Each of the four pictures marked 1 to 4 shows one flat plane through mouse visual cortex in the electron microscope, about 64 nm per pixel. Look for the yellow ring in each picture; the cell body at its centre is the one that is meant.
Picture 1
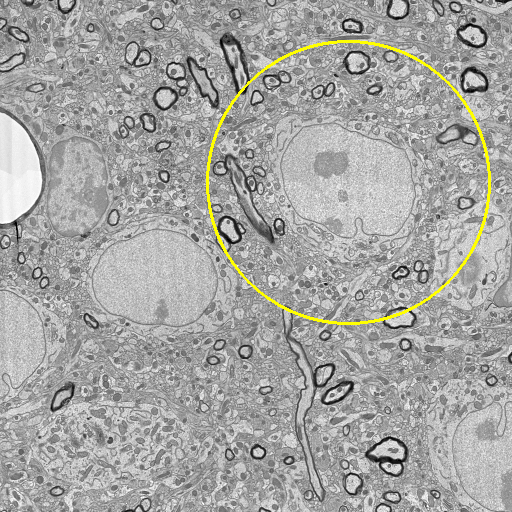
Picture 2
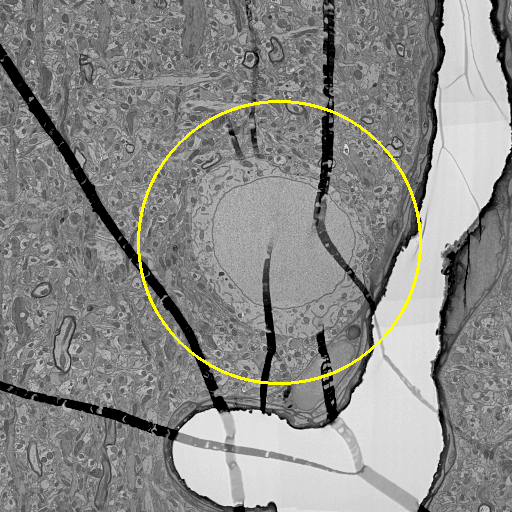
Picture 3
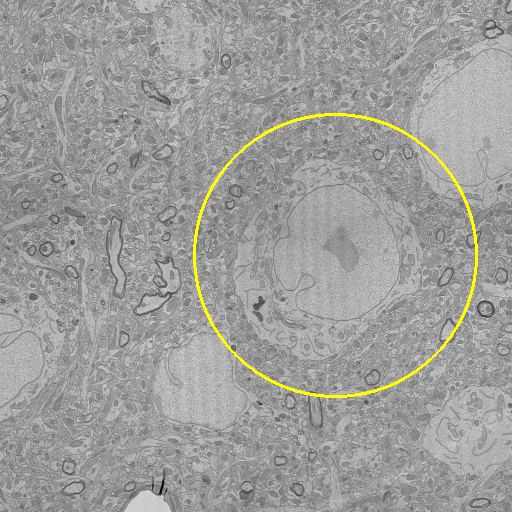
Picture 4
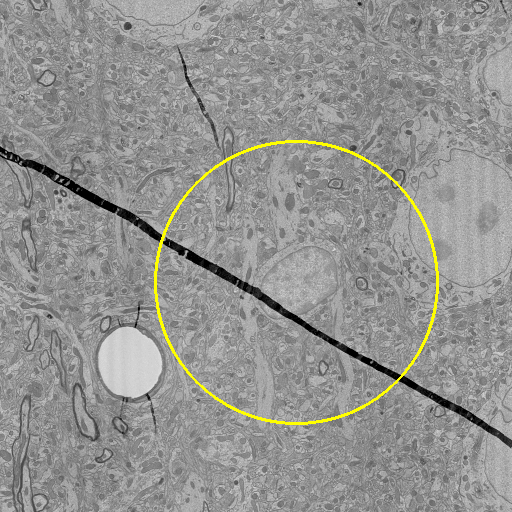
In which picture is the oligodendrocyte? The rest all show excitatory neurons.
The picture with the oligodendrocyte is 4.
